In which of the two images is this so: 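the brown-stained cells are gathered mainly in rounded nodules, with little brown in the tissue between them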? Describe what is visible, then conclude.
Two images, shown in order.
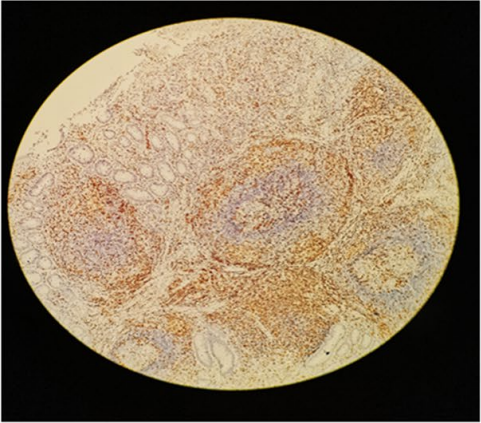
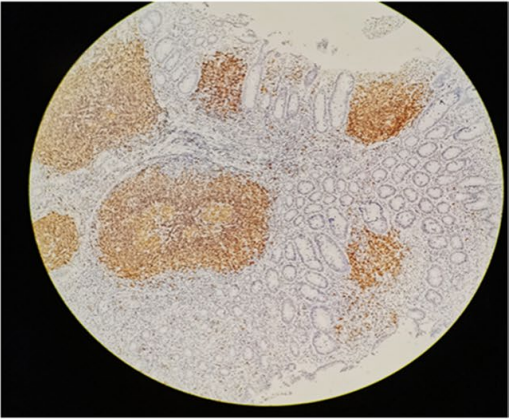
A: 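Second image: brown cells form discrete rounded nodules set among blue-counterstained glands and stroma. First image: brown cells are spread widely across the section, including around and between nodules, with paler centres in some nodules. On this evidence: the second image.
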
